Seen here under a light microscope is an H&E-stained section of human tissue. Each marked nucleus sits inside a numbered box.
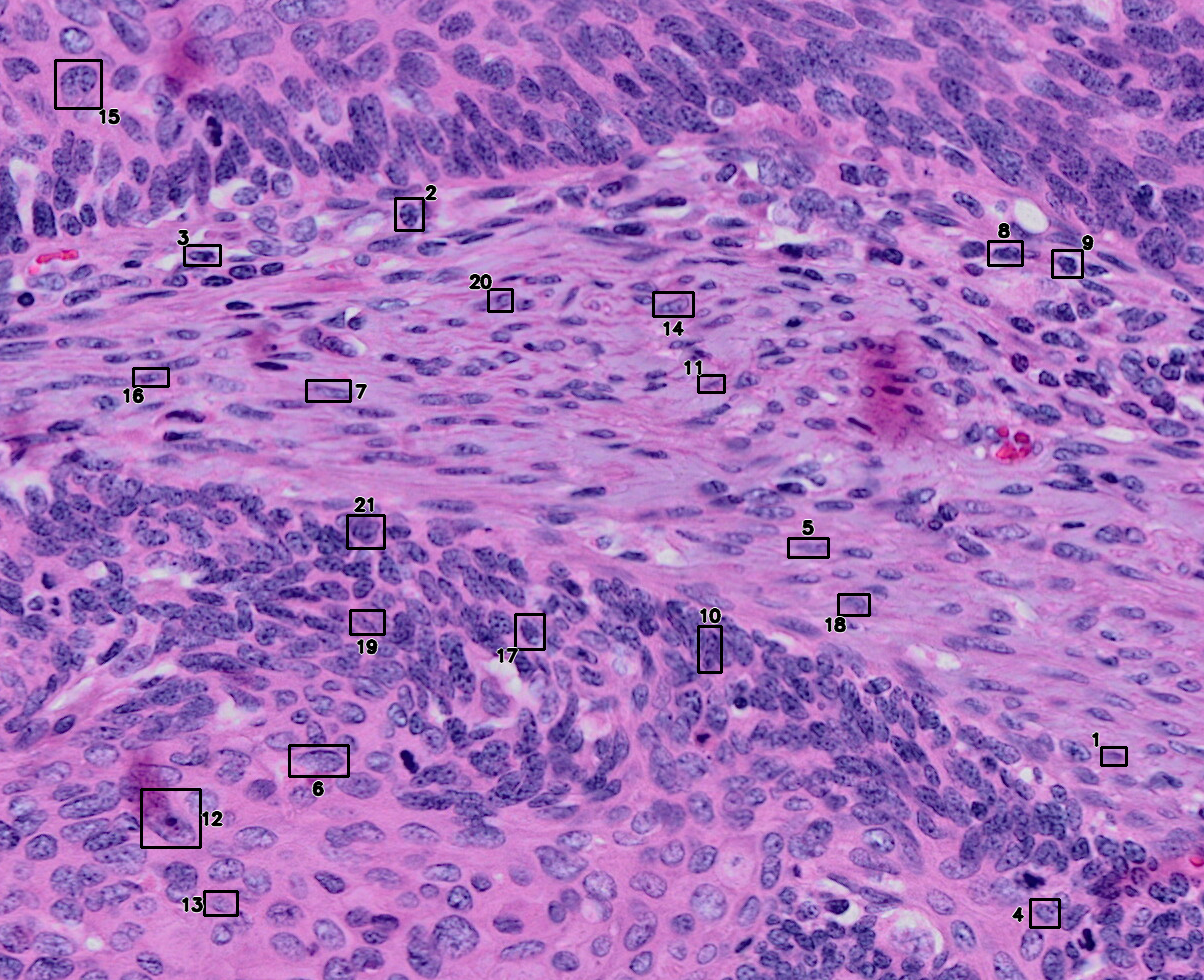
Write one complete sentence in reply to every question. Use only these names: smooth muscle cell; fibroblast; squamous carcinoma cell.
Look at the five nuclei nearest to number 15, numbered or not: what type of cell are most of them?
Of the five nuclei nearest to number 15, most belong to squamous carcinoma cells.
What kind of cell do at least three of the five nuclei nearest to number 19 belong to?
Of the five nuclei nearest to number 19, most belong to squamous carcinoma cells.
